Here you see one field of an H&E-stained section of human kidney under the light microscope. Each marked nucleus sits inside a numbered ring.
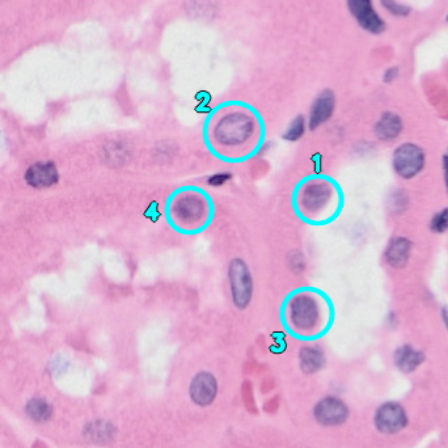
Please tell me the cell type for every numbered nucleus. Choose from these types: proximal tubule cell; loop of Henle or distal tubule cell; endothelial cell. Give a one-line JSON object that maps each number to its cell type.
{"1": "loop of Henle or distal tubule cell", "2": "proximal tubule cell", "3": "loop of Henle or distal tubule cell", "4": "proximal tubule cell"}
